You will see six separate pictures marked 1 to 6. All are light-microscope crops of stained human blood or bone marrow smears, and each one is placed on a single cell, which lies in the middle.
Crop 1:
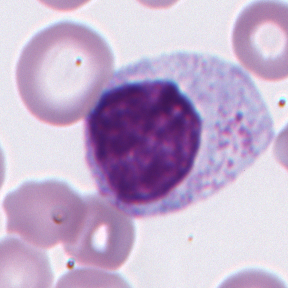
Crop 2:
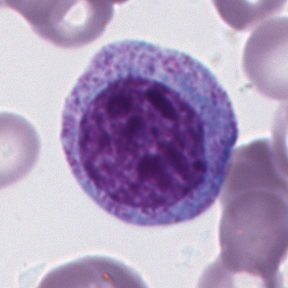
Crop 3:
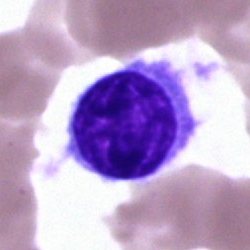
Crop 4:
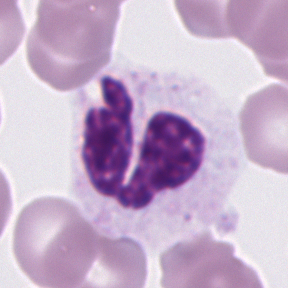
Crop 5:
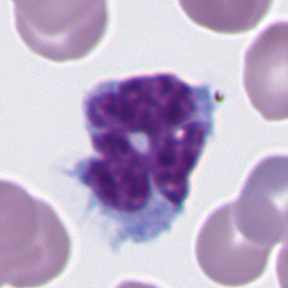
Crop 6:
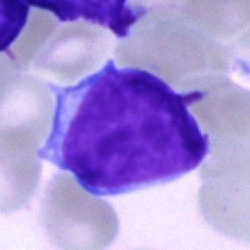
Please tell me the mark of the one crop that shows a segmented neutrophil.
4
